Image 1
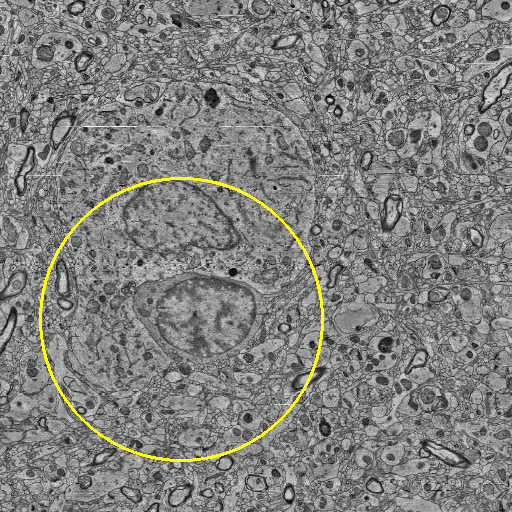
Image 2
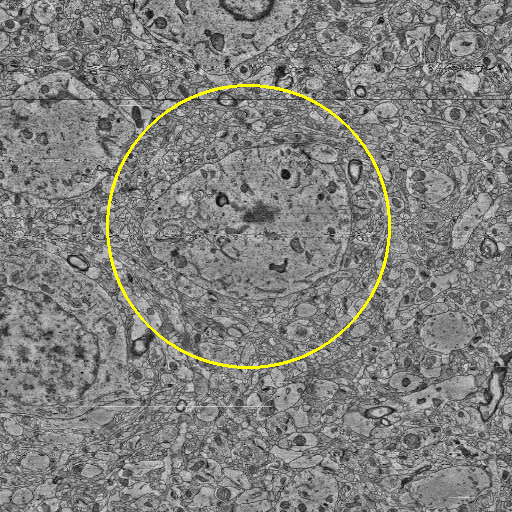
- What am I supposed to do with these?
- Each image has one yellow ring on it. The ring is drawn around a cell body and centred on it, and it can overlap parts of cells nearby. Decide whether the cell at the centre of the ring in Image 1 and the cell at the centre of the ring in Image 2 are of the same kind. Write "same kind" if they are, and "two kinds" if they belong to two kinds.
two kinds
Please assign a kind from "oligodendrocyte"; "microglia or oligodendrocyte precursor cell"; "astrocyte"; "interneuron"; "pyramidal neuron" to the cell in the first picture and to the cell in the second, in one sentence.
In the first picture we have an oligodendrocyte, and in the second, a pyramidal neuron.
